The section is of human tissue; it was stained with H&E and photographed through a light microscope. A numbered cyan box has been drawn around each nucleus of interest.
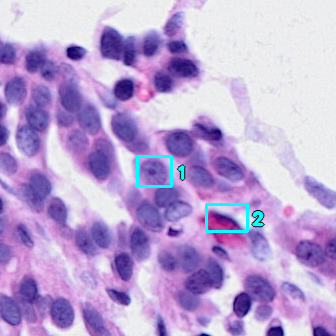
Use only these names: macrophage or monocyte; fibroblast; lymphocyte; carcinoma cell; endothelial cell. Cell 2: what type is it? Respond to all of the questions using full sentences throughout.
The cell that is numbered 2 is an endothelial cell.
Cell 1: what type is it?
That cell with number 1 is a carcinoma cell.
